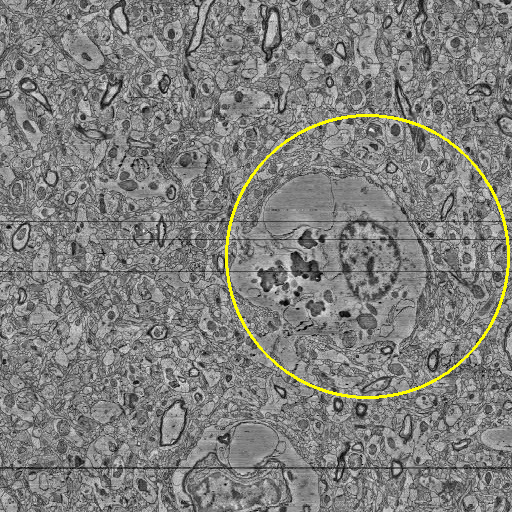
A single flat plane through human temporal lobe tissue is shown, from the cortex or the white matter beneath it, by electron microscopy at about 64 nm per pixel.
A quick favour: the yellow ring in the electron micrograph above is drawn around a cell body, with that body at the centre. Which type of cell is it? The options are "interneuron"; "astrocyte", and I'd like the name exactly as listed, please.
astrocyte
